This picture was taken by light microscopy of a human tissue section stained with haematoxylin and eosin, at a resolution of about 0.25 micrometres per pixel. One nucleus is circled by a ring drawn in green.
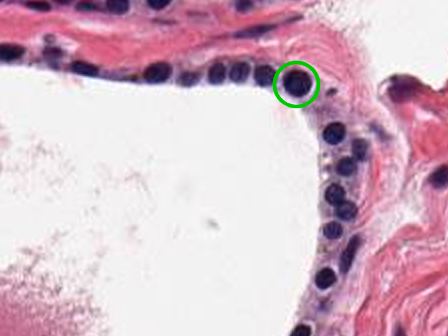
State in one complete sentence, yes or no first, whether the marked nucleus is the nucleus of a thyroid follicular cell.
Yes, the marked nucleus belongs to a thyroid follicular cell in this field.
